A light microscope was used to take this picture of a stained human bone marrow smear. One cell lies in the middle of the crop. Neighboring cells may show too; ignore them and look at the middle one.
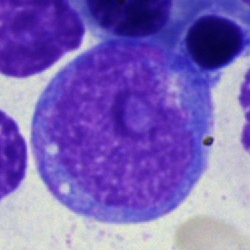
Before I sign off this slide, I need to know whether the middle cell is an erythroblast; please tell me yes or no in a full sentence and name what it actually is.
No, at the middle of the crop is a blast, not an erythroblast.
